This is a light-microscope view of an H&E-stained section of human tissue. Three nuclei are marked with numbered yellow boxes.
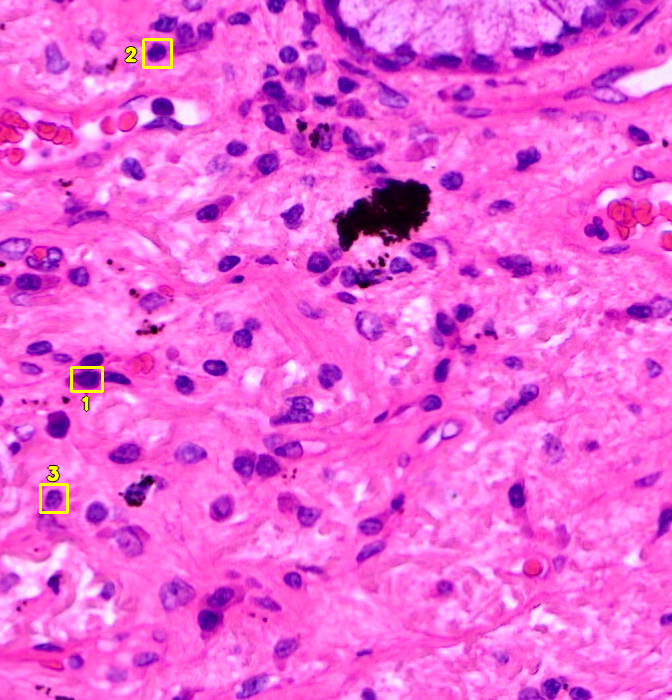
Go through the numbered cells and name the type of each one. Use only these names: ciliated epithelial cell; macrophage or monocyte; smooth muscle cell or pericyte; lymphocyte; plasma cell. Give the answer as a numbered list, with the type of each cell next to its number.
1. plasma cell
2. lymphocyte
3. lymphocyte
